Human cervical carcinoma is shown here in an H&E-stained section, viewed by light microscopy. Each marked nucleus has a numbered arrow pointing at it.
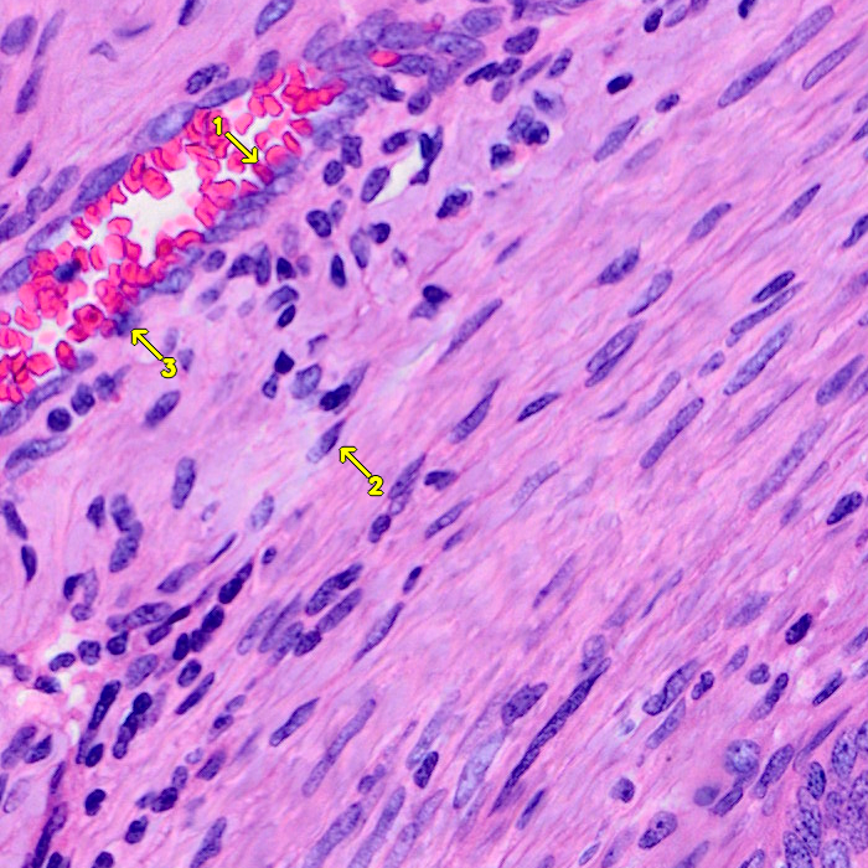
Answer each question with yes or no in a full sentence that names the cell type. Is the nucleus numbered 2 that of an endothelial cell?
No, sorry, the cell labelled 2 is not an endothelial cell; it is a fibroblast.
